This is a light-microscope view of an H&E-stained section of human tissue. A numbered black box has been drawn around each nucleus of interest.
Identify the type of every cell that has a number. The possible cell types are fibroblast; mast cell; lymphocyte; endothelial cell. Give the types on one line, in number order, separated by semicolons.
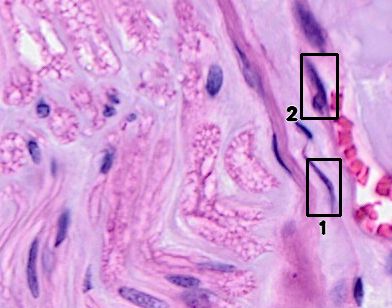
fibroblast; endothelial cell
